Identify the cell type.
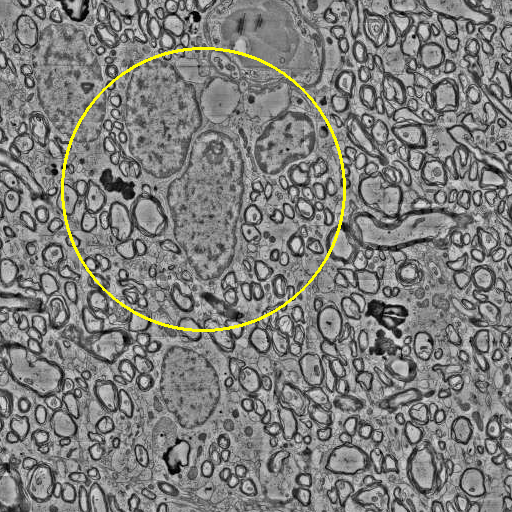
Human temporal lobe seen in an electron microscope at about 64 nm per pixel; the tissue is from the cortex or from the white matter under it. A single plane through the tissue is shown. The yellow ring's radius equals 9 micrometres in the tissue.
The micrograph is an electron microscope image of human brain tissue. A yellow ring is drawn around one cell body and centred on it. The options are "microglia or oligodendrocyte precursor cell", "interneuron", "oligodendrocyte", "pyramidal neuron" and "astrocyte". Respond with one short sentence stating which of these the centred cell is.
The cell body in the ring belongs to an oligodendrocyte.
